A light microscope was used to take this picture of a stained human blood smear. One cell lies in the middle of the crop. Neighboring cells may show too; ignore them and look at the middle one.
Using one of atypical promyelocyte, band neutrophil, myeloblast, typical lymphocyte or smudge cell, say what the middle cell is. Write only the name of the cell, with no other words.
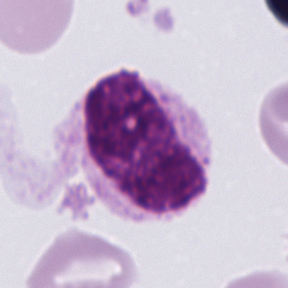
band neutrophil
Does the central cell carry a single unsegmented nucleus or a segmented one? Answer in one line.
Its nucleus is compact and single, with a round, oval or kidney-shaped form.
